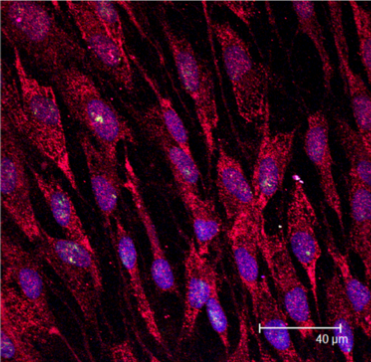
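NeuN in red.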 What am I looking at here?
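Cells are tightly packed with slender processes running along the long axis. Green nuclear fluorescence is nearly absent, with only a few small green dots.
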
